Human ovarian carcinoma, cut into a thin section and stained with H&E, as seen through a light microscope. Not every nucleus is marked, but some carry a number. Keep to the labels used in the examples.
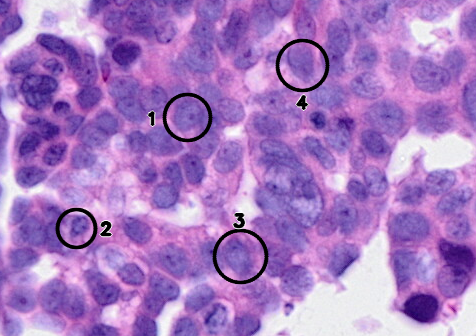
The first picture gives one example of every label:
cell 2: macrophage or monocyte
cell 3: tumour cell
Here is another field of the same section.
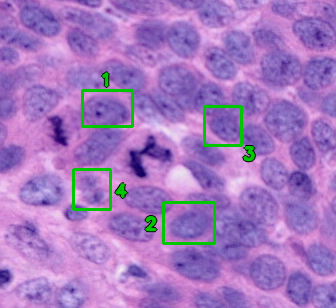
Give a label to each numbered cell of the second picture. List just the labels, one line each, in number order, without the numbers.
tumour cell
tumour cell
tumour cell
macrophage or monocyte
